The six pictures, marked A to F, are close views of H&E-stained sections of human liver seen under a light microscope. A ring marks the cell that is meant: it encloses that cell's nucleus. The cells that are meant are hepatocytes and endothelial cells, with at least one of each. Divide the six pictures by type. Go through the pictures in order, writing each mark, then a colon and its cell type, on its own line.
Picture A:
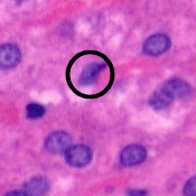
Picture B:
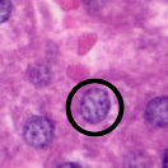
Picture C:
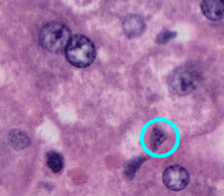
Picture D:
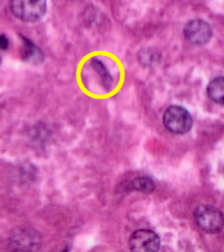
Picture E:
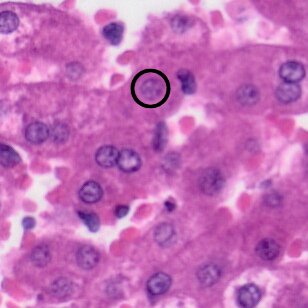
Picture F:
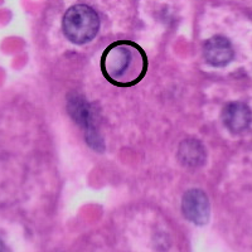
A: endothelial cell
B: hepatocyte
C: endothelial cell
D: endothelial cell
E: hepatocyte
F: endothelial cell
